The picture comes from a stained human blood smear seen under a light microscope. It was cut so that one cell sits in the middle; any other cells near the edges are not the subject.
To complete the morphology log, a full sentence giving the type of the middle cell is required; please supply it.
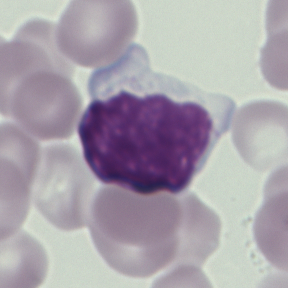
The central cell, amid any neighbouring cells, is a large granular lymphocyte.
